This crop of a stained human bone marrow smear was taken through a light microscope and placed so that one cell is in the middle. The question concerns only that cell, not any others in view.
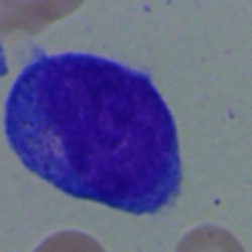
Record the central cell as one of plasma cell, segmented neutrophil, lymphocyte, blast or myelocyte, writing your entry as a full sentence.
Here the cell in the middle is a blast.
